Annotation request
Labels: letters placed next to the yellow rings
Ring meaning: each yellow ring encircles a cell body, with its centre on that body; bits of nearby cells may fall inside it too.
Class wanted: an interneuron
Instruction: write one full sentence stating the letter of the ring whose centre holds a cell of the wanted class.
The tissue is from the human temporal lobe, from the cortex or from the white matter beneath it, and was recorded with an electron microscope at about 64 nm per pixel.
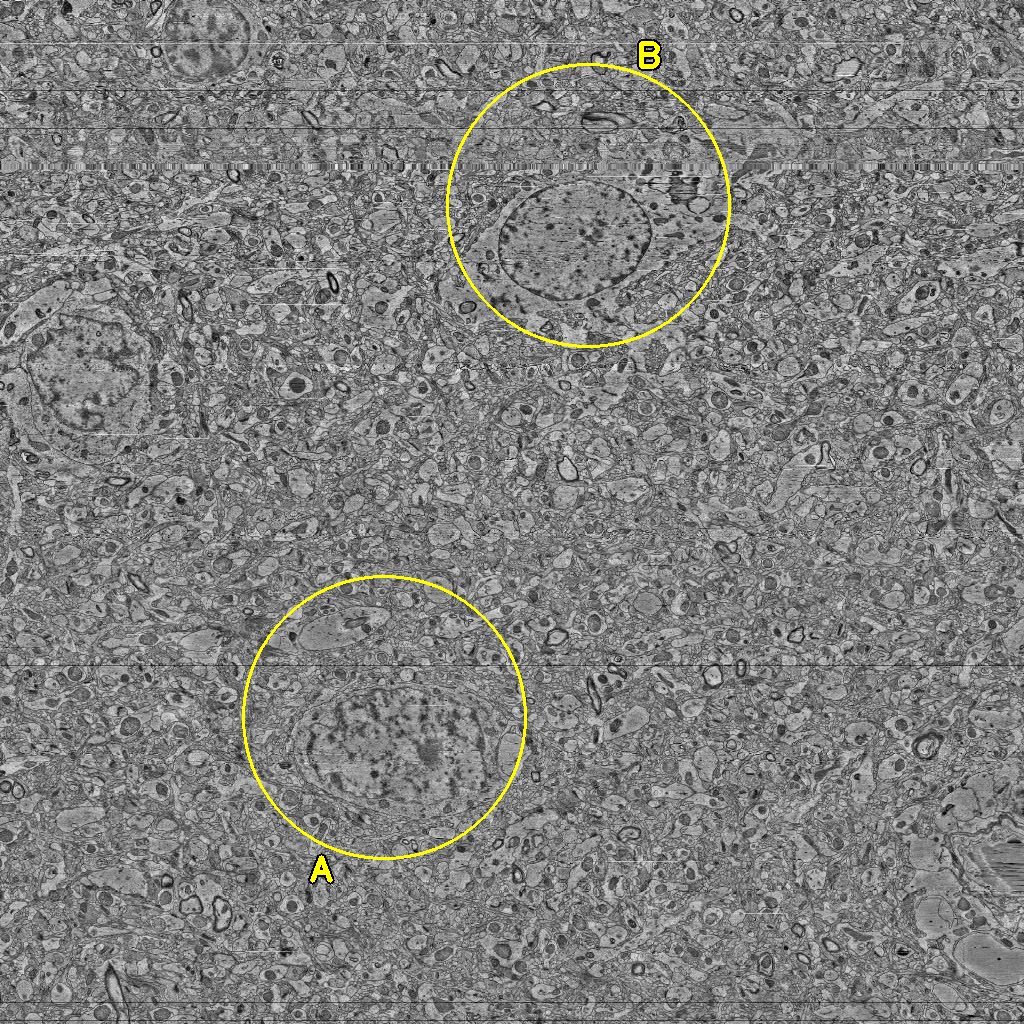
For this annotation, a cell of that kind sits at the centre of ring A.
